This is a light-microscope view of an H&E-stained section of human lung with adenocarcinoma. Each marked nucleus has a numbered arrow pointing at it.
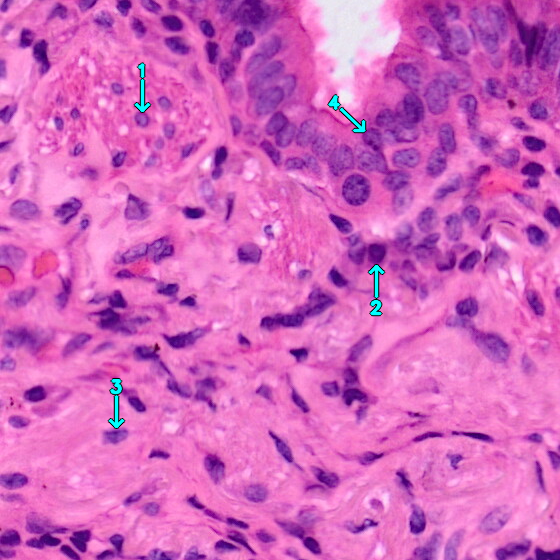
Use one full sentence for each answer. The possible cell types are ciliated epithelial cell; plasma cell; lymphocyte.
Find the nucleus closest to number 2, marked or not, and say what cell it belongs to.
The cell nearest to number 2 is a plasma cell.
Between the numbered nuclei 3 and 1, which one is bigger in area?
Nucleus 3 is the larger one, covering about 2 times the area of nucleus 1.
